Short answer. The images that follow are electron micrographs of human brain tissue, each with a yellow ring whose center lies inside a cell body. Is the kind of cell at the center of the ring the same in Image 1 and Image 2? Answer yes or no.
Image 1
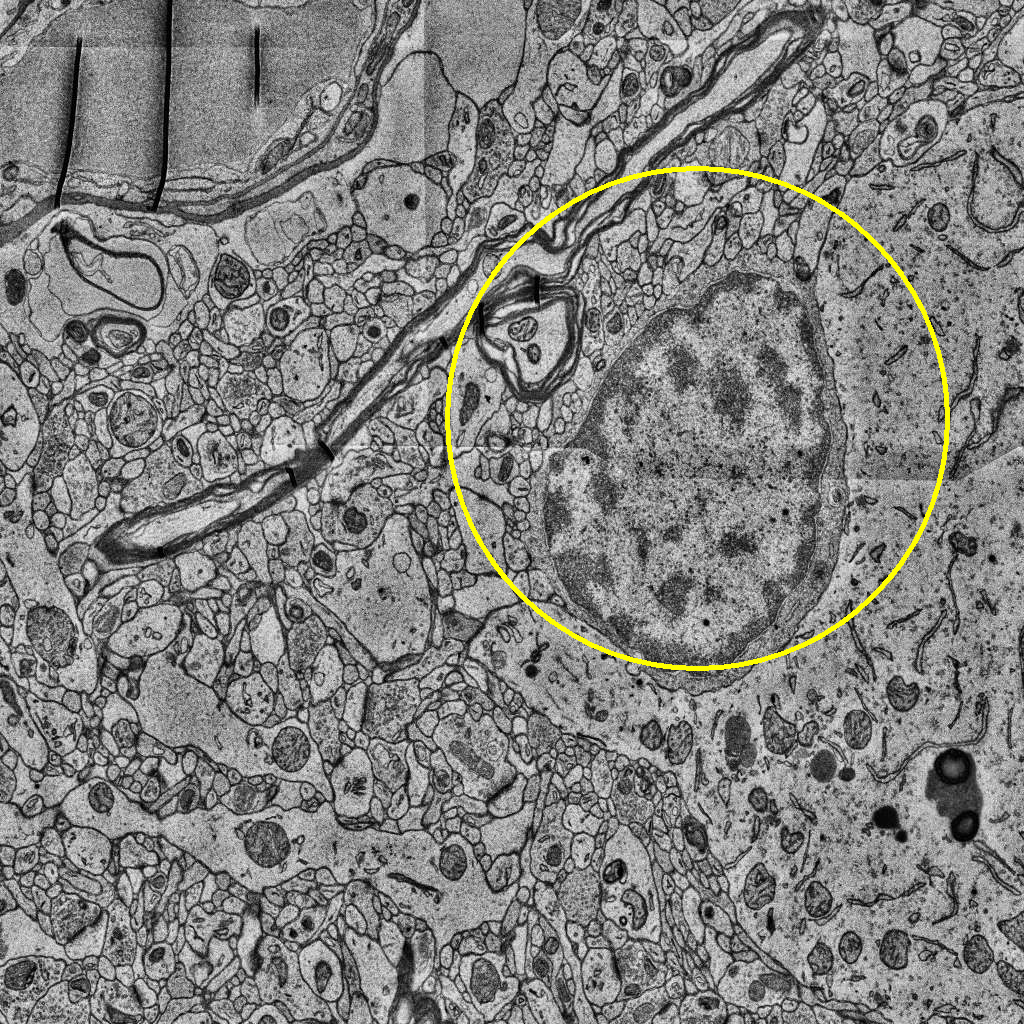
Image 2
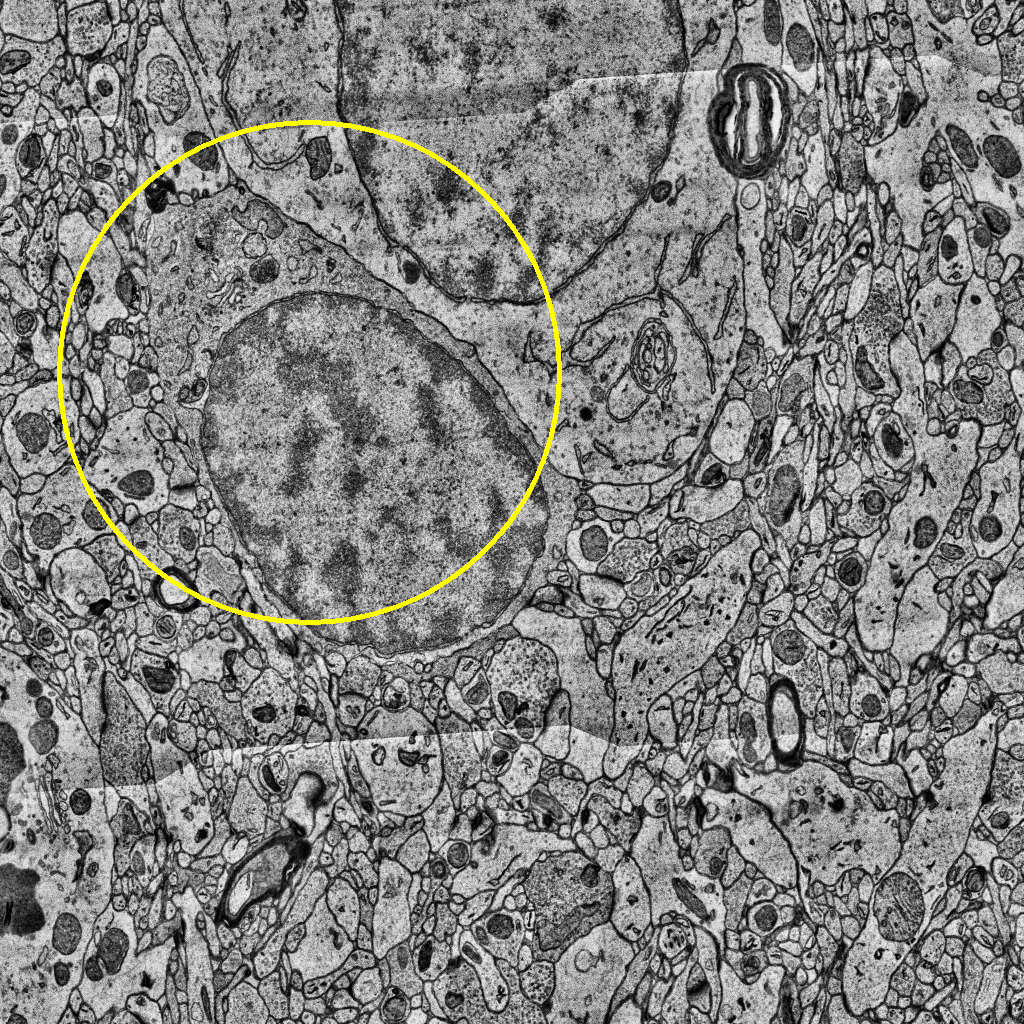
yes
